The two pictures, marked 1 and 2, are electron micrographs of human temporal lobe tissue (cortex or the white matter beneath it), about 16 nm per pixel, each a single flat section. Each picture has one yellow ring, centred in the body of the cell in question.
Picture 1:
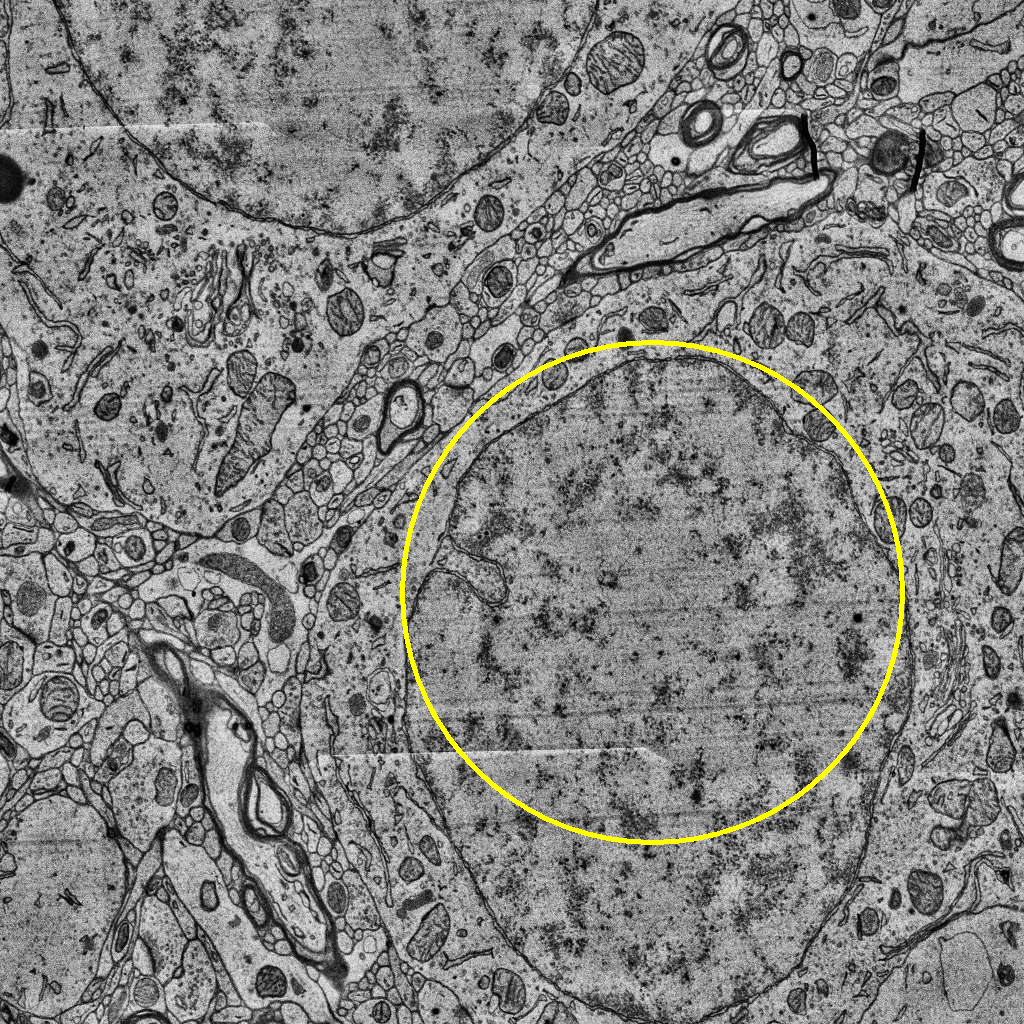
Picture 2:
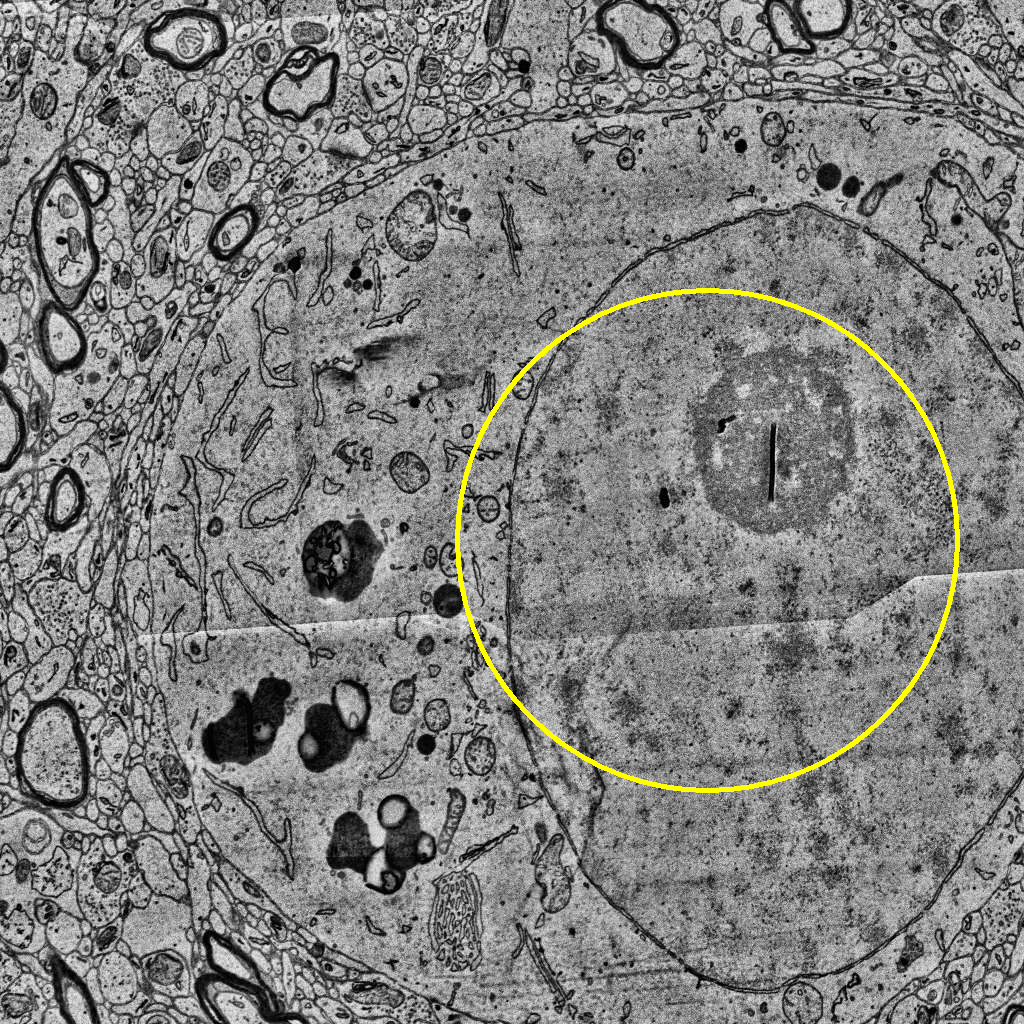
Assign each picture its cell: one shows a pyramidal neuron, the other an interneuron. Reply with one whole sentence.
Picture 2 shows a pyramidal neuron, while picture 1 shows an interneuron.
